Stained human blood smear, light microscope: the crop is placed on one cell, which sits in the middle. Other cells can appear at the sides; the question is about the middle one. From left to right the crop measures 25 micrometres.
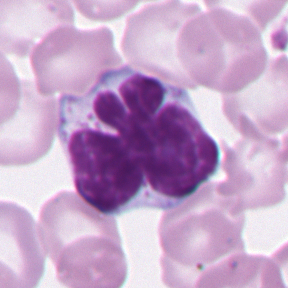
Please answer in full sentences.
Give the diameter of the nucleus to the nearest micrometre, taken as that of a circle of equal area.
Taken as a circle, the nucleus has a diameter of about 11 micrometres.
